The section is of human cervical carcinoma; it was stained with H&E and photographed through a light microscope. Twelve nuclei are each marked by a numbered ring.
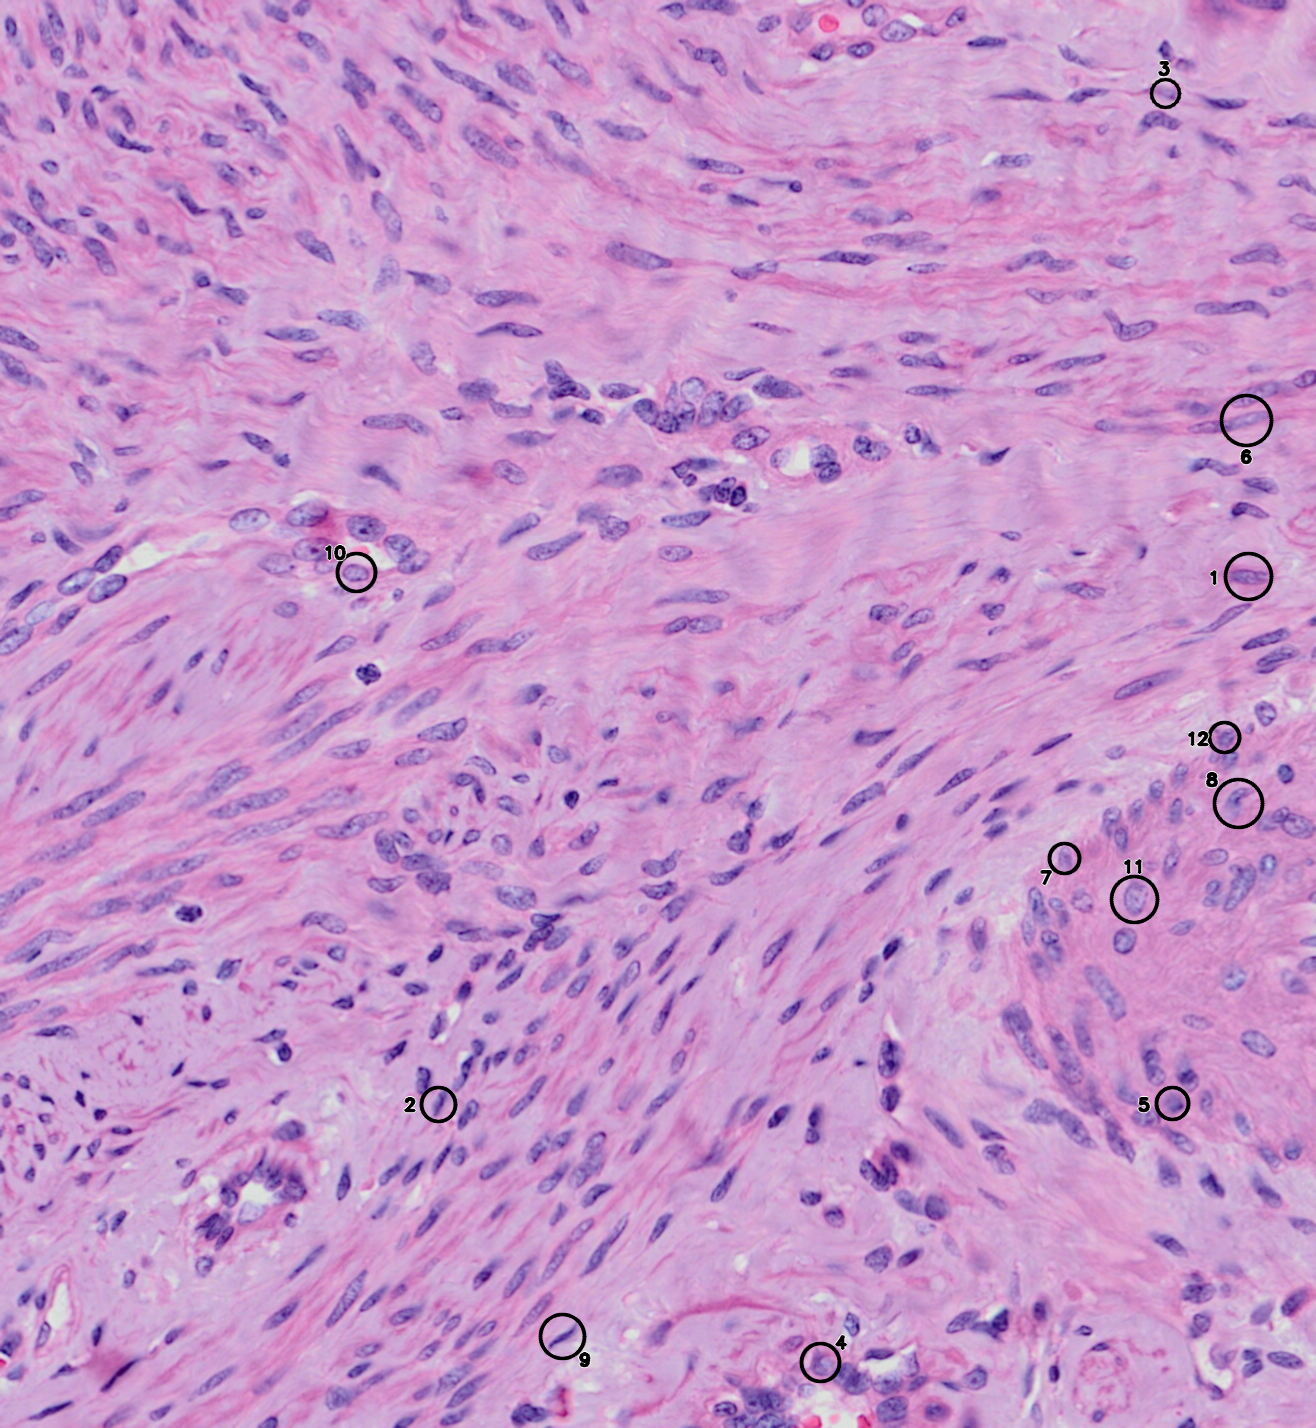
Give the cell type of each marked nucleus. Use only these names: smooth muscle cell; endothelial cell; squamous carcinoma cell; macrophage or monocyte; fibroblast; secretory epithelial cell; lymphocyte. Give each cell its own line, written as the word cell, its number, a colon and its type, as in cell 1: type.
cell 1: smooth muscle cell
cell 2: fibroblast
cell 3: fibroblast
cell 4: endothelial cell
cell 5: smooth muscle cell
cell 6: smooth muscle cell
cell 7: smooth muscle cell
cell 8: smooth muscle cell
cell 9: fibroblast
cell 10: endothelial cell
cell 11: smooth muscle cell
cell 12: smooth muscle cell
